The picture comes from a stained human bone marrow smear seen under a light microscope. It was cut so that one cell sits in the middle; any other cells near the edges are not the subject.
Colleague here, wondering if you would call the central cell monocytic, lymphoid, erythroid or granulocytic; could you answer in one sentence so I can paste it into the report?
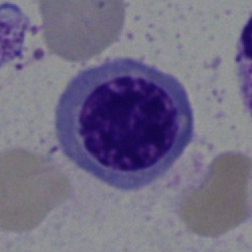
The cell at the middle of this crop is assigned to the erythroid lineage.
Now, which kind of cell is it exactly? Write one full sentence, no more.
Answering briefly, the cell in the middle is an erythroblast.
